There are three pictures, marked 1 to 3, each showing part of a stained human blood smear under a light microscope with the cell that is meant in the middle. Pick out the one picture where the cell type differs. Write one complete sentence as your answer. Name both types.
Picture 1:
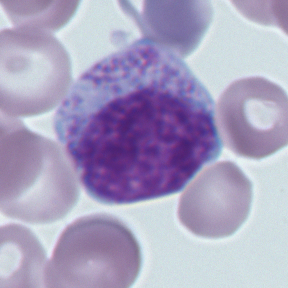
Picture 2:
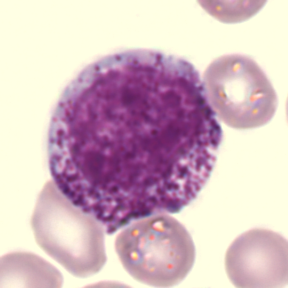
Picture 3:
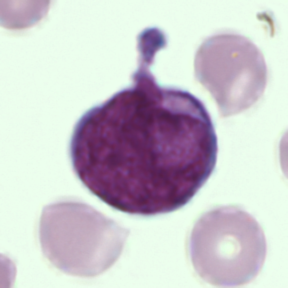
All pictures except 3 show myelocytes; picture 3 shows an atypical promyelocyte.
